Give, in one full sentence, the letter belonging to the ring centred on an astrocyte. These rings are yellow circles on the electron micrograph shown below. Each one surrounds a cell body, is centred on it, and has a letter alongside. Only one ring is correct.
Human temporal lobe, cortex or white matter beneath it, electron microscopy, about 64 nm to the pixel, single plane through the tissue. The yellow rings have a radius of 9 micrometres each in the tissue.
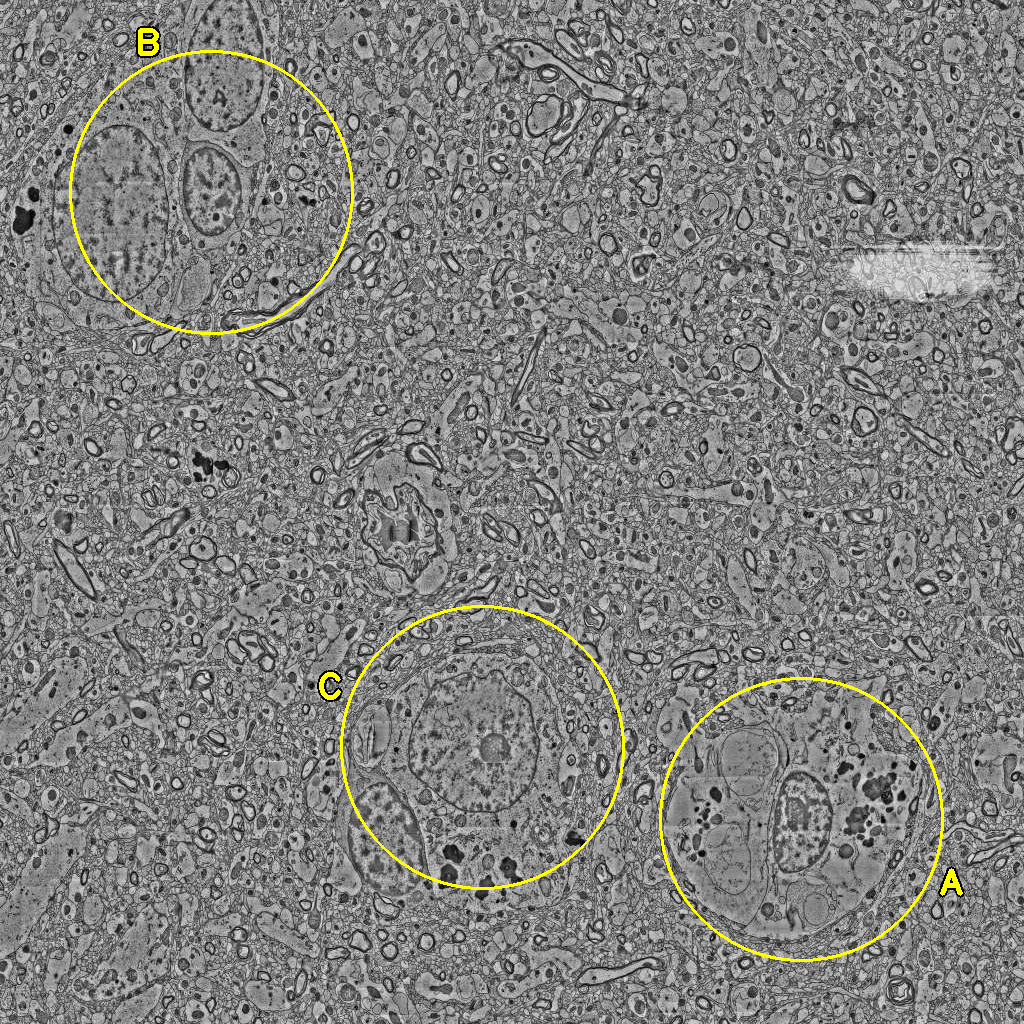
My answer is A, the ring centred on the cell asked for.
